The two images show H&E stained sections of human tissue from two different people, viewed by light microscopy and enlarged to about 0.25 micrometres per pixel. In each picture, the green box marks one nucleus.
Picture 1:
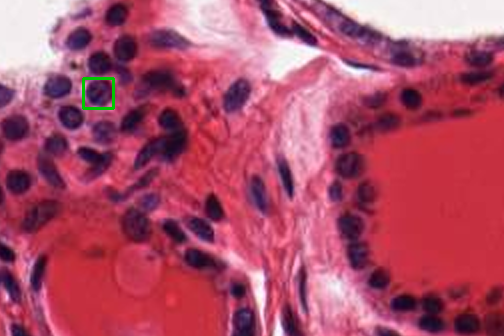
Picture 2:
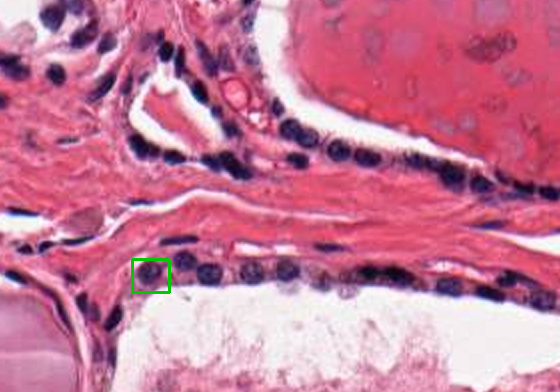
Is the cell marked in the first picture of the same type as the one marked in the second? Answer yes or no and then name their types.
Yes, both are thyroid follicular cells.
